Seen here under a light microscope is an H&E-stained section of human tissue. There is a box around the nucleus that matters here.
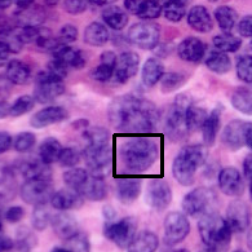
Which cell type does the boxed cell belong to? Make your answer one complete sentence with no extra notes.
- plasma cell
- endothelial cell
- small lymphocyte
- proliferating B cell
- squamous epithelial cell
The identity of the boxed cell: it is a proliferating B cell.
